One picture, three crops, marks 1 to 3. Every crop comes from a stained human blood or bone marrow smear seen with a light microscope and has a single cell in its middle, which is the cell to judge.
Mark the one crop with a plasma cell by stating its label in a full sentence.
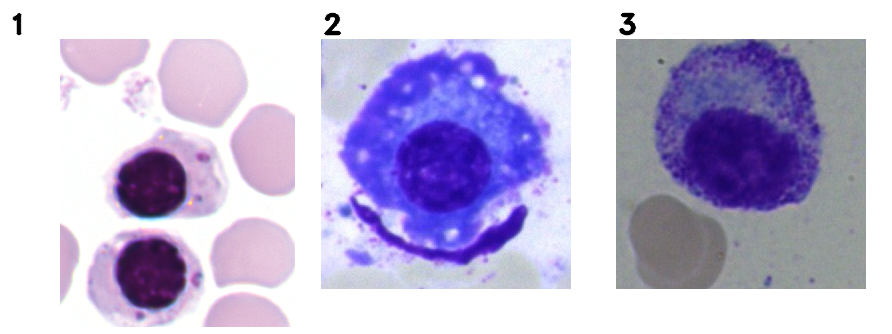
That would be crop 2; it shows a plasma cell.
